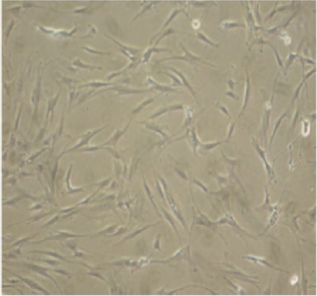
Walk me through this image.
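This low-magnification view of an unstained adherent culture shows numerous elongated, flattened cells spread over the dish. The cells are narrow and drawn out at both ends, some with fine thread-like processes. They lie partly aligned in loose parallel bundles and partly crossing one another, with gaps of empty background between. A few small bright round bodies sit among them.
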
